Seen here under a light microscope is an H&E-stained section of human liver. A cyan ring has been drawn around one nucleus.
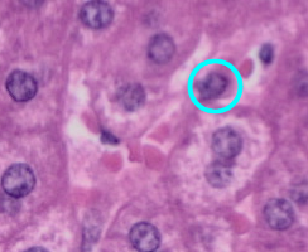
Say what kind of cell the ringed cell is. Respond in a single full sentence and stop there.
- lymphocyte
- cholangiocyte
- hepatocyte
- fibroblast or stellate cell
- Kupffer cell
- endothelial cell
In the tissue under study, the ringed cell is a Kupffer cell.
